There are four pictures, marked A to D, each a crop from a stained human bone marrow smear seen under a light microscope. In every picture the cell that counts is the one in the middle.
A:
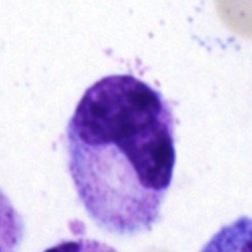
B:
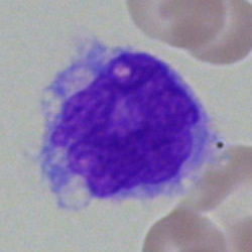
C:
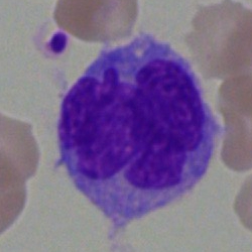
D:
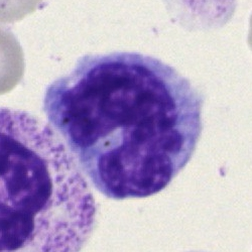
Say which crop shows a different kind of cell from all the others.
A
